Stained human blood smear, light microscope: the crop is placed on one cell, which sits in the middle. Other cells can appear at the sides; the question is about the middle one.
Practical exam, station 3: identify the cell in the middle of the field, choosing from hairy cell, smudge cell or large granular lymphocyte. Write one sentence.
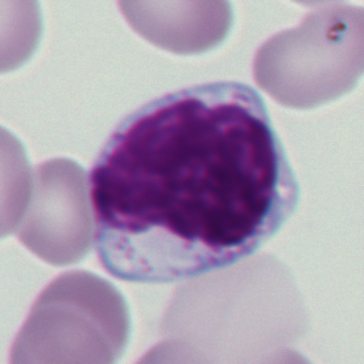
As for the cell in the middle, it is a large granular lymphocyte.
